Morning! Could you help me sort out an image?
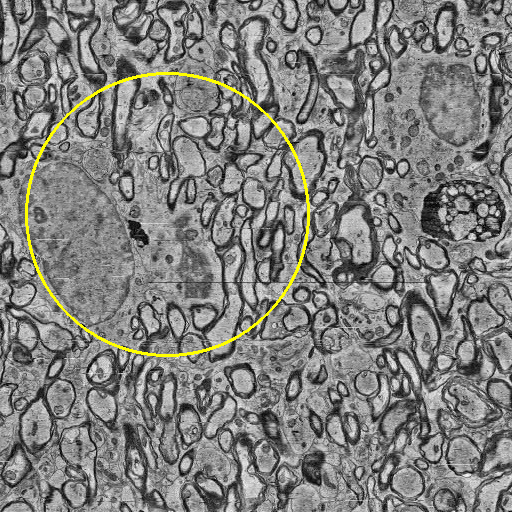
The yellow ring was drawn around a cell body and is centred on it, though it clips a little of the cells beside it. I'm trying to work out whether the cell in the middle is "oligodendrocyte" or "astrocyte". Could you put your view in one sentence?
The ringed cell body is that of an oligodendrocyte.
